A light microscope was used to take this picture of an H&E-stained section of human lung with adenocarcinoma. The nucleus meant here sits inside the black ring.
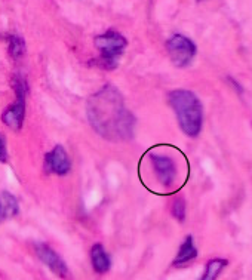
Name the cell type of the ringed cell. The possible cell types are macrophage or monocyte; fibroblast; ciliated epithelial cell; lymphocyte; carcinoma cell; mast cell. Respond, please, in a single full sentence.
In this tissue sample, the ringed cell is a mast cell.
